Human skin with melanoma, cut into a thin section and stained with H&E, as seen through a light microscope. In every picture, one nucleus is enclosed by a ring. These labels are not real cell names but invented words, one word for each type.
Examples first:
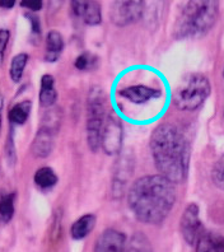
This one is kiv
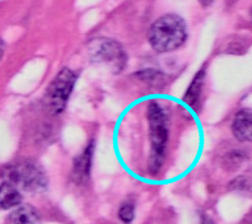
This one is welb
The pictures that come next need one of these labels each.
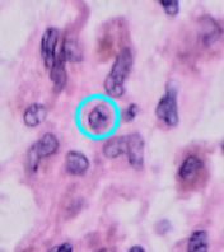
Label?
kiv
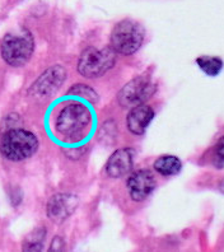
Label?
welb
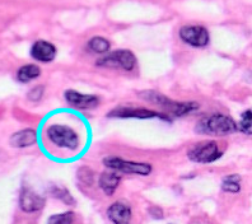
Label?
kiv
